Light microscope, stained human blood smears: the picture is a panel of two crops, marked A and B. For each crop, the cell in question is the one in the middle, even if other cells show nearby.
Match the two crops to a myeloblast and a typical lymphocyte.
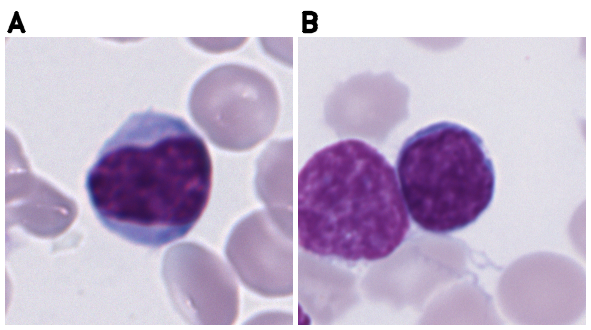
A: typical lymphocyte
B: myeloblast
